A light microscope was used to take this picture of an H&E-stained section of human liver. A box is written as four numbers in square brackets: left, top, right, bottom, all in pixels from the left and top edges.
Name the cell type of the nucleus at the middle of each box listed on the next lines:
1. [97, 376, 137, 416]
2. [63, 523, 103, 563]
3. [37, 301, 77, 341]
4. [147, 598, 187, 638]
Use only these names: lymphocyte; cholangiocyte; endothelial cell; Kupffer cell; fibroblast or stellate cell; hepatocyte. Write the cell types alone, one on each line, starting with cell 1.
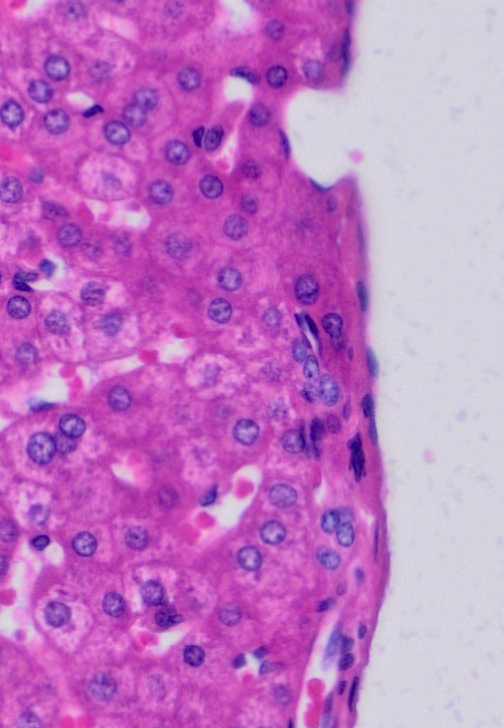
hepatocyte
hepatocyte
hepatocyte
Kupffer cell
